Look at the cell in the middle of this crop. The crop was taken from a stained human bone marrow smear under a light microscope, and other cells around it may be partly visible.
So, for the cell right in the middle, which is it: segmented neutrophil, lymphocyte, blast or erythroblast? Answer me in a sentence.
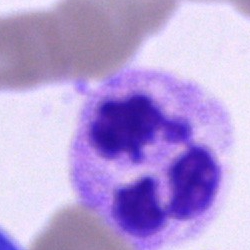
Centrally within this crop lies a segmented neutrophil.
